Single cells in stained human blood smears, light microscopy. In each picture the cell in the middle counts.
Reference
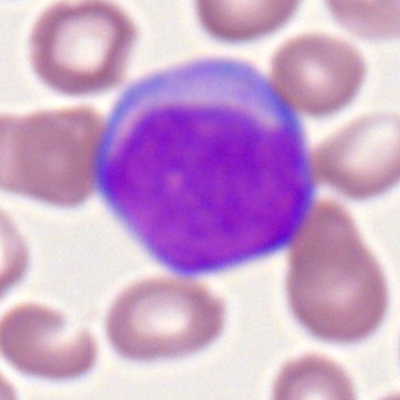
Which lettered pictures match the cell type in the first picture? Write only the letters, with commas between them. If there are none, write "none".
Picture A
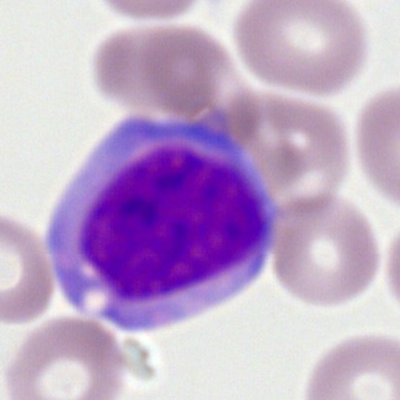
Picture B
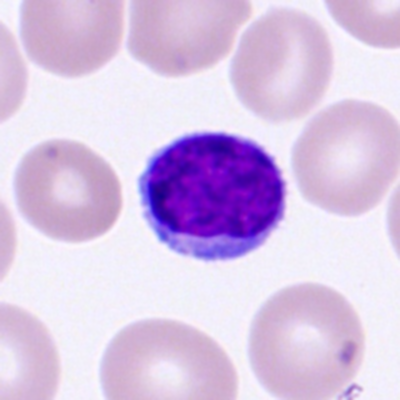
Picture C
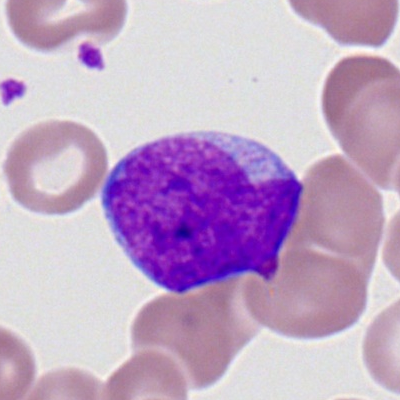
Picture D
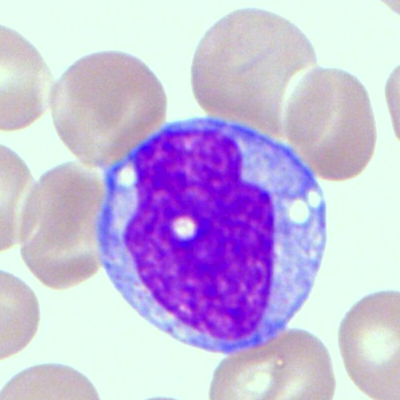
A, C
